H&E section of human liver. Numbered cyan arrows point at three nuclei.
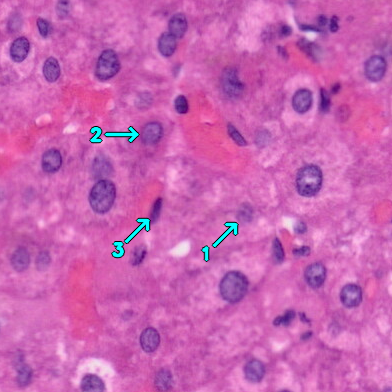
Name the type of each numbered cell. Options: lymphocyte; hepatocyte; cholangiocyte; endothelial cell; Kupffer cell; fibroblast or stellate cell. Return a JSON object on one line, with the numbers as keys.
{"1": "hepatocyte", "2": "hepatocyte", "3": "endothelial cell"}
